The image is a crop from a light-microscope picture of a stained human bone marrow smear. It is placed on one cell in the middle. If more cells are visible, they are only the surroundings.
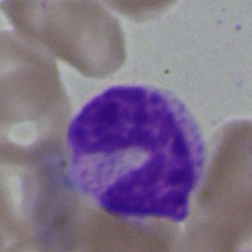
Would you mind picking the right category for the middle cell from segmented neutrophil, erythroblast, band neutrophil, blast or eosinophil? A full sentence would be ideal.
The cell of interest, in the center, is a band neutrophil.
